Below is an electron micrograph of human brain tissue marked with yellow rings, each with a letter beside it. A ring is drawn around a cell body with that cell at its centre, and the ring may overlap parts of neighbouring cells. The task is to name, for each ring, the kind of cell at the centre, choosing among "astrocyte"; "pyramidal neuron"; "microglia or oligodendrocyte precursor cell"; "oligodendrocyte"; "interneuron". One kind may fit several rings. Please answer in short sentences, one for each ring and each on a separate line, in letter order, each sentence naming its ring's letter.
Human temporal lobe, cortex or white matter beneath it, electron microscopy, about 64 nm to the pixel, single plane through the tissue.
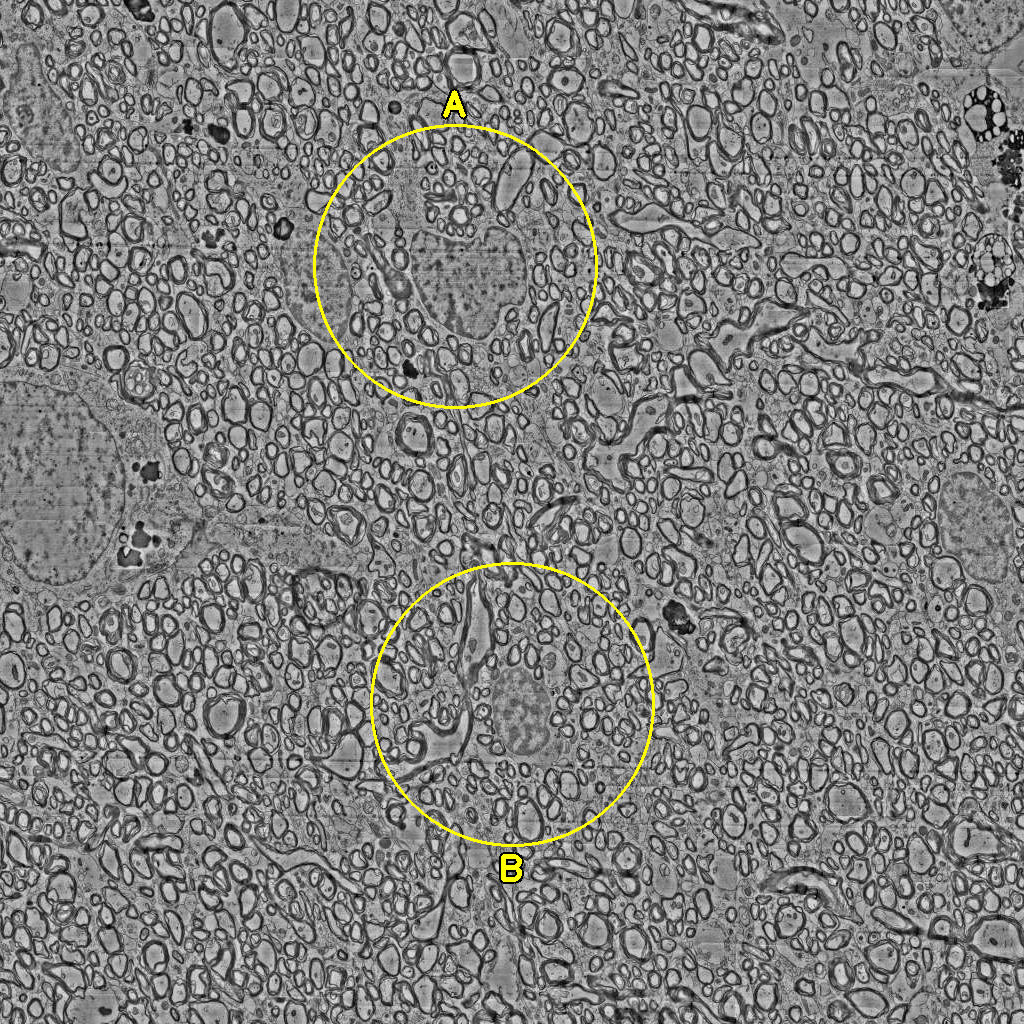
The ring with letter A is centred on a microglial cell or oligodendrocyte precursor cell.
The ring with letter B is centred on an oligodendrocyte.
